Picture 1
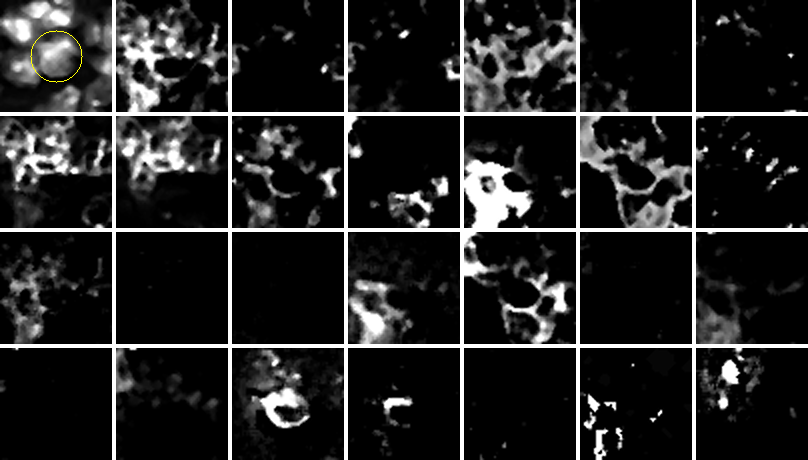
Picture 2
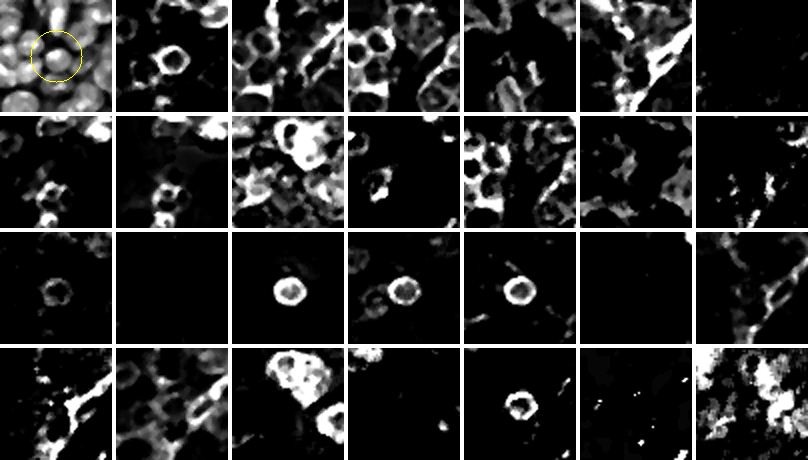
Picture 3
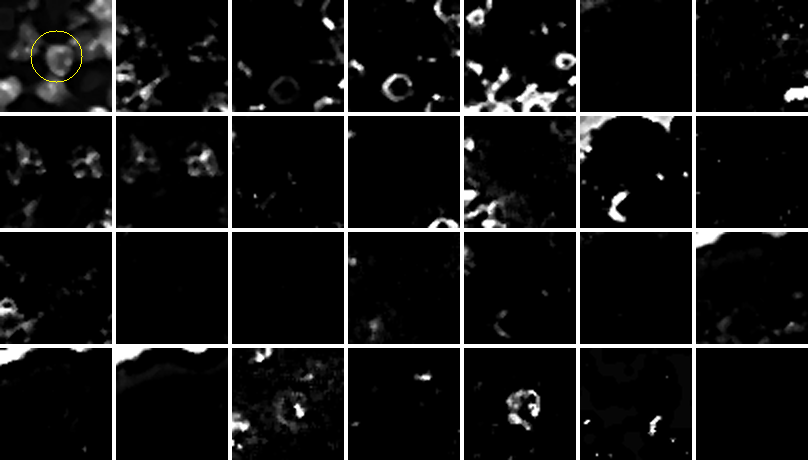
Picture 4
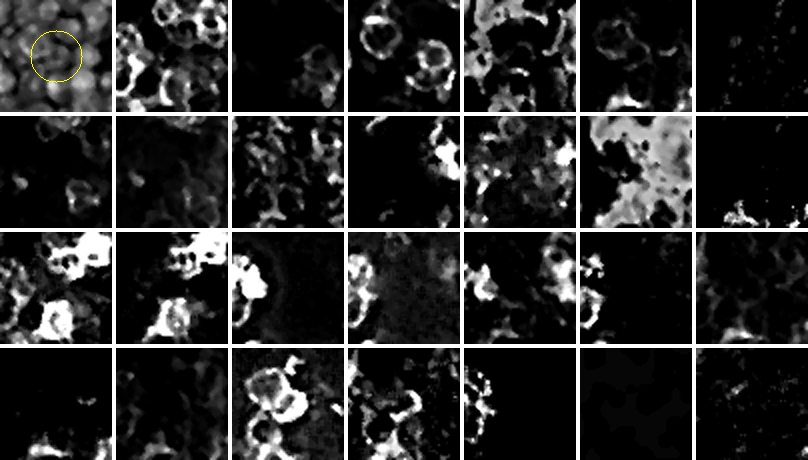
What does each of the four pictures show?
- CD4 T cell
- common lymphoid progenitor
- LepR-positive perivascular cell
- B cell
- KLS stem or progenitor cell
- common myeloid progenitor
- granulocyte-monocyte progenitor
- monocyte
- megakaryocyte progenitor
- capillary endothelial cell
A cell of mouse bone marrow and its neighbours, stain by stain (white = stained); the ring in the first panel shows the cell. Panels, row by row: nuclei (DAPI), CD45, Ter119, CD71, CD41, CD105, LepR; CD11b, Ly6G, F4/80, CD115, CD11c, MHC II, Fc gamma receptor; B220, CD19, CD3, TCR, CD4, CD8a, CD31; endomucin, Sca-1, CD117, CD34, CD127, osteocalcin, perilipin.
Picture 1: megakaryocyte progenitor
Picture 2: CD4 T cell
Picture 3: common lymphoid progenitor
Picture 4: common myeloid progenitor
